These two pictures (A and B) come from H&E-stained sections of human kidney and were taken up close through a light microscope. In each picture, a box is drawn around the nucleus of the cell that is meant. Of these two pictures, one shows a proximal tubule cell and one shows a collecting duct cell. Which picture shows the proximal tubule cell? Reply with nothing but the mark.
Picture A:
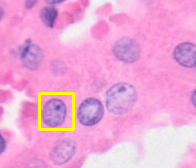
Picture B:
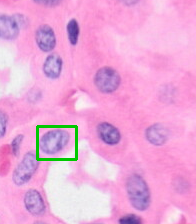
A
